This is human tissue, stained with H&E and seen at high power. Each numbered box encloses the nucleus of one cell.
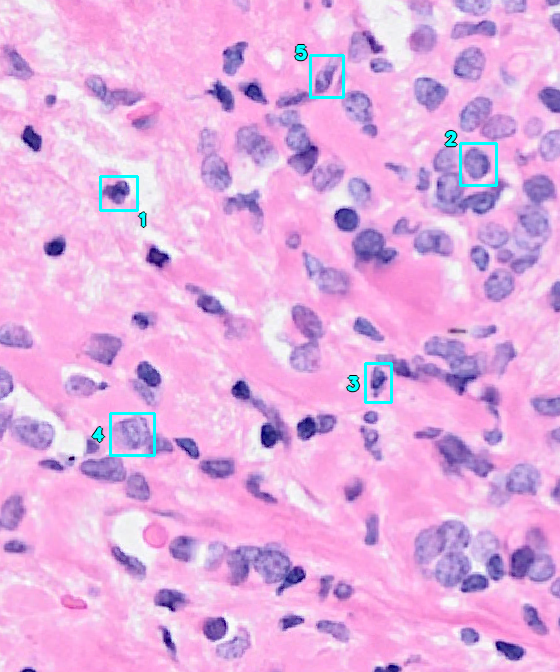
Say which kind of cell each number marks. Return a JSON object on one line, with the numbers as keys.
{"1": "lymphocyte", "2": "carcinoma cell", "3": "lymphocyte", "4": "carcinoma cell", "5": "endothelial cell"}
